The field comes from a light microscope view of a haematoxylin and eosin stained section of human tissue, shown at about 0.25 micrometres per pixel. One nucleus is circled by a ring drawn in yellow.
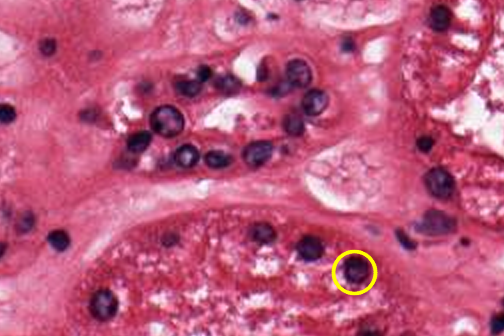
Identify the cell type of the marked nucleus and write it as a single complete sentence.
The marked nucleus is housed in a proximal tubule cell.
